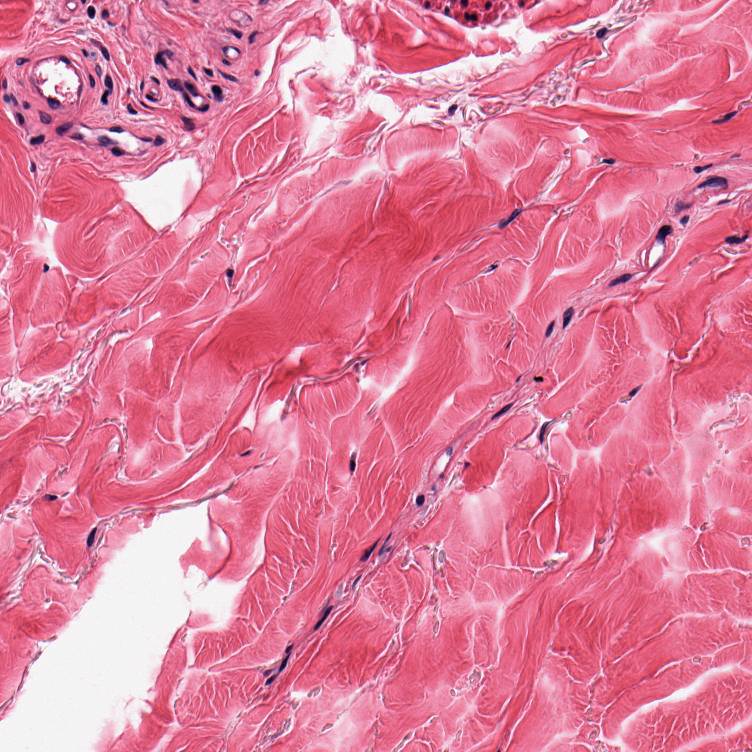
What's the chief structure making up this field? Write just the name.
dermis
